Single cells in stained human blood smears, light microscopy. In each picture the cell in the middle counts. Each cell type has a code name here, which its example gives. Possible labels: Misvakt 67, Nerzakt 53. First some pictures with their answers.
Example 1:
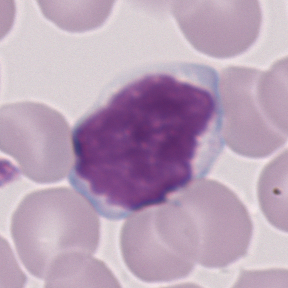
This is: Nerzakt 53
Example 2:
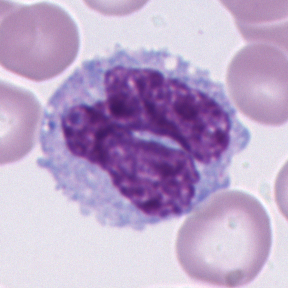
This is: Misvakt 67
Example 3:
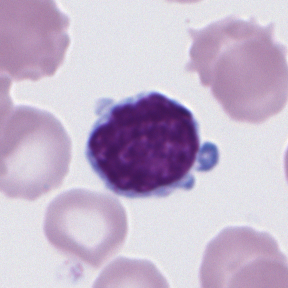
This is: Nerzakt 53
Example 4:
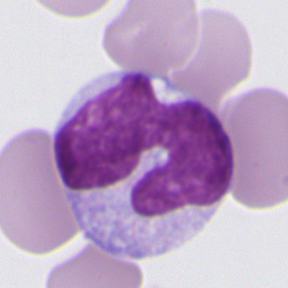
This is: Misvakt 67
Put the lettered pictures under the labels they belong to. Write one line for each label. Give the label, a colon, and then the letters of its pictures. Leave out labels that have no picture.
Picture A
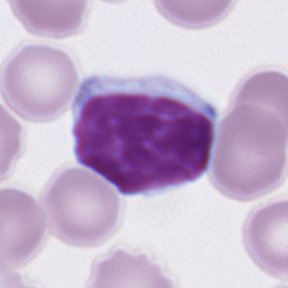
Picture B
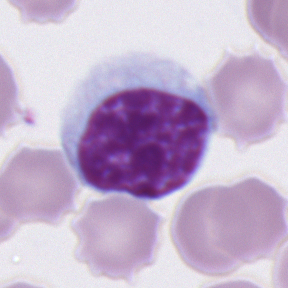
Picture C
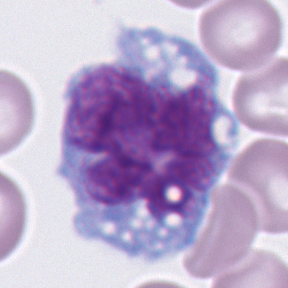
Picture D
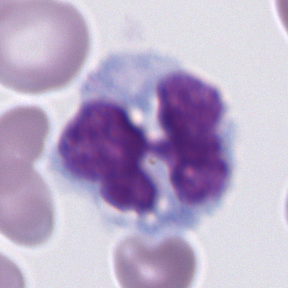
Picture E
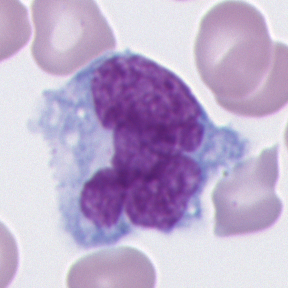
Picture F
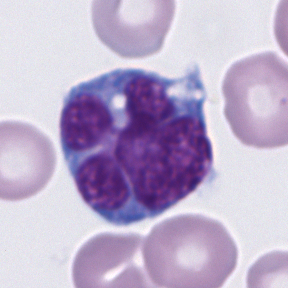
Misvakt 67: C, D, E, F
Nerzakt 53: A, B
